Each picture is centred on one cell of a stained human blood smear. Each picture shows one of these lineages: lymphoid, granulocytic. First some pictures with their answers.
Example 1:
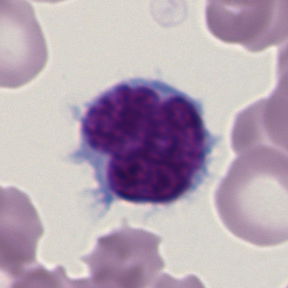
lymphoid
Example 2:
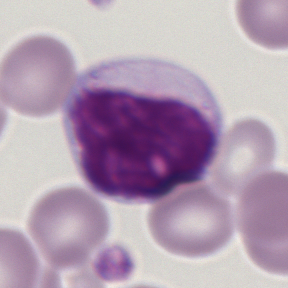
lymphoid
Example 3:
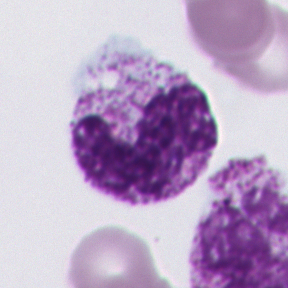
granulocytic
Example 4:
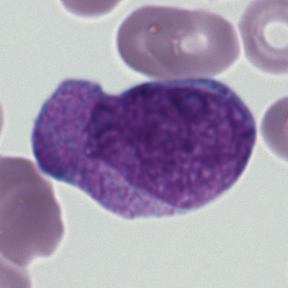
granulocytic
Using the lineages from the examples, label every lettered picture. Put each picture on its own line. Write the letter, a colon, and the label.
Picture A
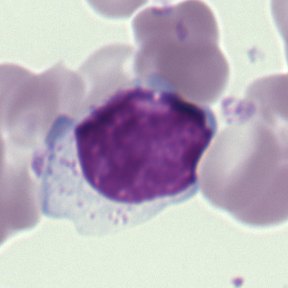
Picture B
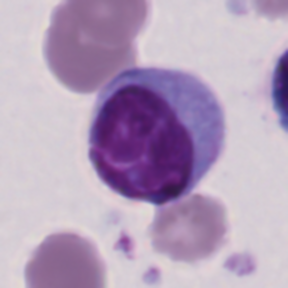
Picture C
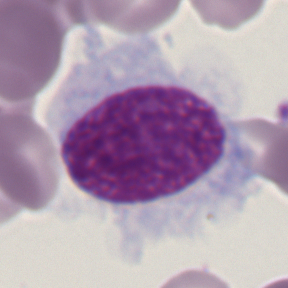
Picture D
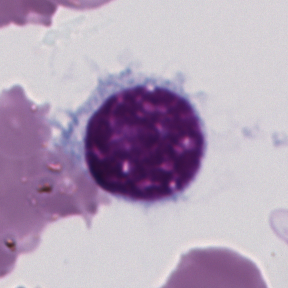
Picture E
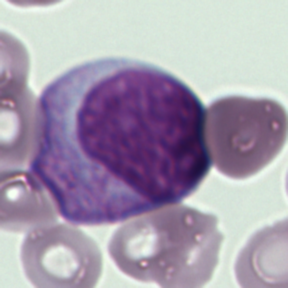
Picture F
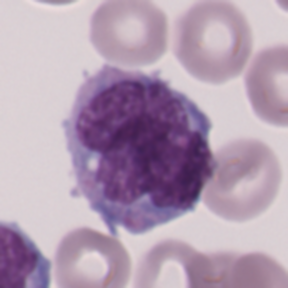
A: lymphoid
B: lymphoid
C: lymphoid
D: lymphoid
E: granulocytic
F: granulocytic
